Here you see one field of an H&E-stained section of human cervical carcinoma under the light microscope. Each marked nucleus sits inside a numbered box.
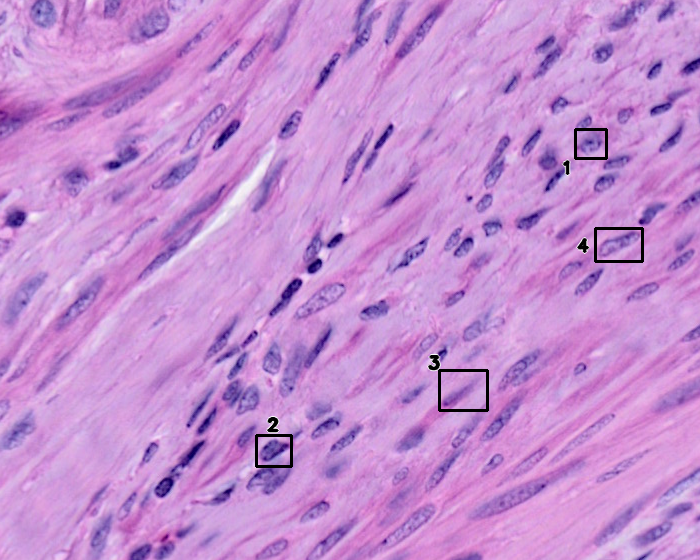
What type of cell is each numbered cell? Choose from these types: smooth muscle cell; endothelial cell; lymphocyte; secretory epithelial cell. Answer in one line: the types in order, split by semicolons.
smooth muscle cell; lymphocyte; smooth muscle cell; smooth muscle cell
